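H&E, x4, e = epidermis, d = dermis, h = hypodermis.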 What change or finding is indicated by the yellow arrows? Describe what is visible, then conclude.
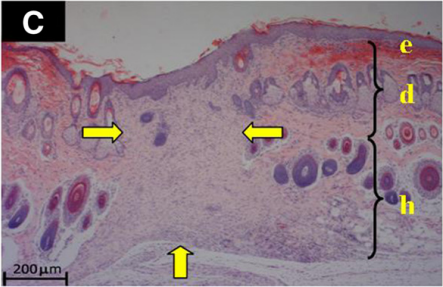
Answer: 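This zone interrupts the dermis, where follicles are present on either side. On this evidence: wound area.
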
